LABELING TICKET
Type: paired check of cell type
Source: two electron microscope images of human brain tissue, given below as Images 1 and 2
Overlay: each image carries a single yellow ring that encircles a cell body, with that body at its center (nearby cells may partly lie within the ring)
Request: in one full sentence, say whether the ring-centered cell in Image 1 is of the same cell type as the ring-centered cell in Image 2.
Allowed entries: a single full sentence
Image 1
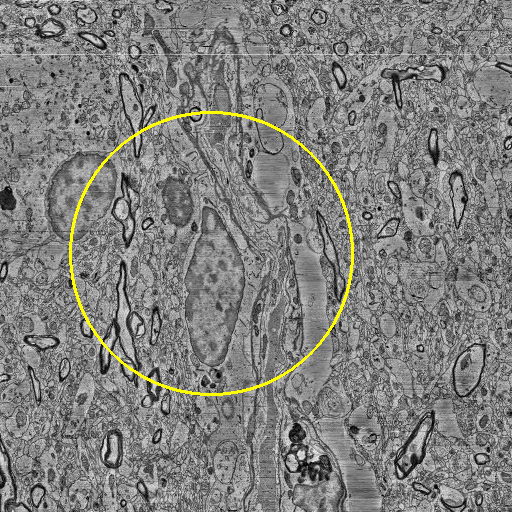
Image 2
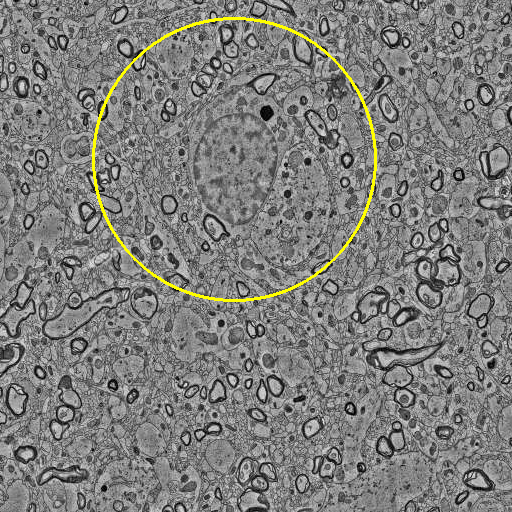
No, the cells centered in the rings of Image 1 and Image 2 are of two types.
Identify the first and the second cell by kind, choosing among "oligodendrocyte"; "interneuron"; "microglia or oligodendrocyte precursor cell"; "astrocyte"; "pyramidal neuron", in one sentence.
The one in the first picture is a microglial cell or oligodendrocyte precursor cell, while the one in the second is an oligodendrocyte.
